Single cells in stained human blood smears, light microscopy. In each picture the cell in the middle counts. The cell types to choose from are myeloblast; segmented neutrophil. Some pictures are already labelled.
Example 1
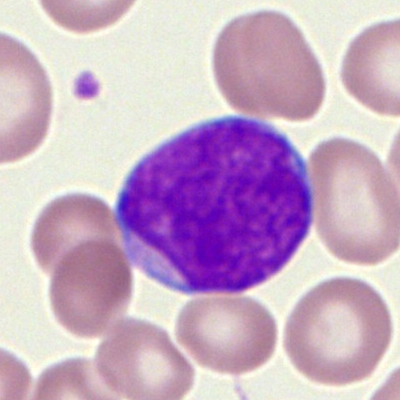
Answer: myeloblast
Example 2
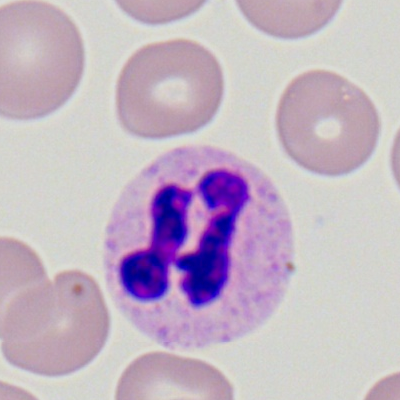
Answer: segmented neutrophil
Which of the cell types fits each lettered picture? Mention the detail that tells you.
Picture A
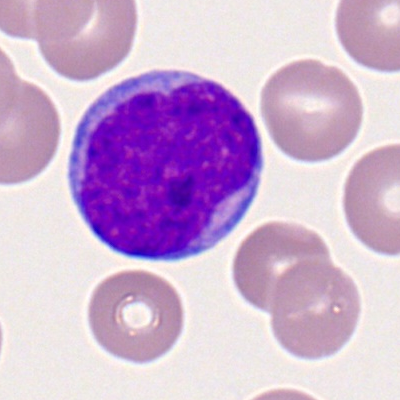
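Label: myeloblast. The cytoplasm forms only a scant rim around the nucleus.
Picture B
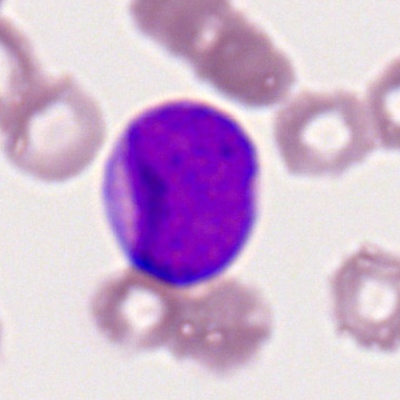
Label: myeloblast. The nucleus fills most of the cell, leaving only scant cytoplasm.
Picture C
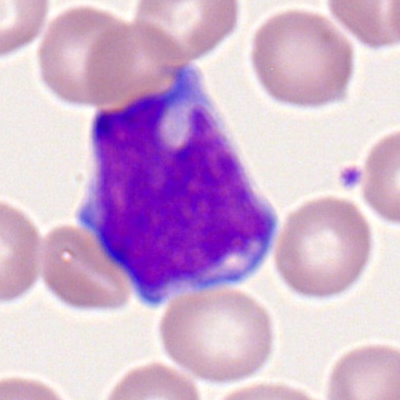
Label: myeloblast. The cytoplasm is a scant rim around the nucleus.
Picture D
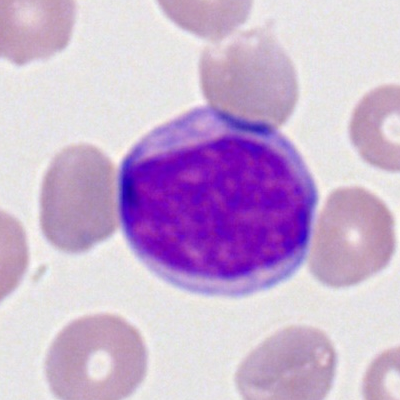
Label: myeloblast. The nucleus fills most of the cell.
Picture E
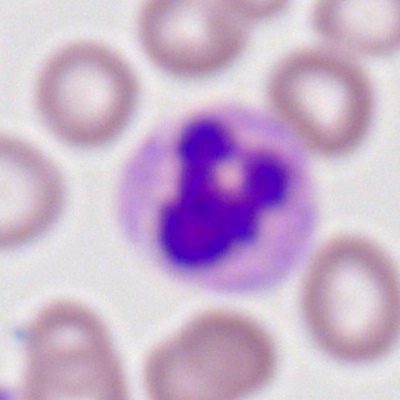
Label: segmented neutrophil. The cytoplasm forms a wide rim around the nucleus.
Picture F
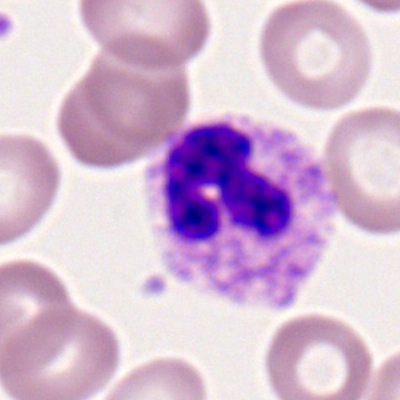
Label: segmented neutrophil. The cytoplasm is plentiful and pale pinkish-lilac.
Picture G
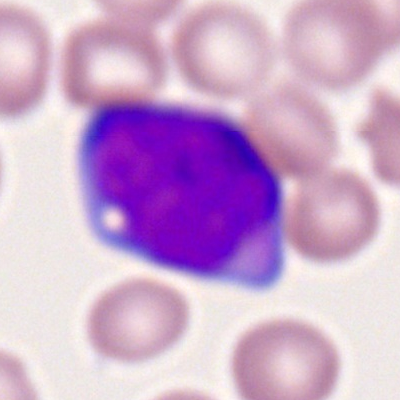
Label: myeloblast. The cytoplasm is a deep blue.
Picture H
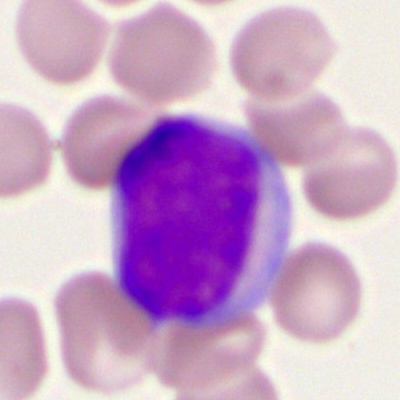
Label: myeloblast. The nucleus is a single unlobed mass.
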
